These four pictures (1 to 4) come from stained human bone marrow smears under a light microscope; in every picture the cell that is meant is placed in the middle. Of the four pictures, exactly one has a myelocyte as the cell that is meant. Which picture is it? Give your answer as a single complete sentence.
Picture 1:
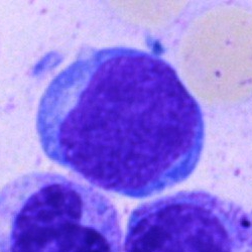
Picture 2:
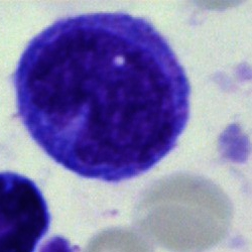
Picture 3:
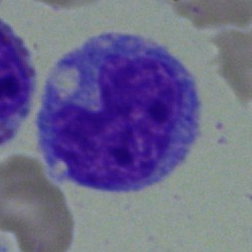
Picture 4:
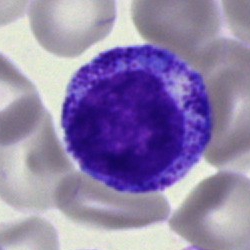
Picture 4 is the one that shows the myelocyte.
